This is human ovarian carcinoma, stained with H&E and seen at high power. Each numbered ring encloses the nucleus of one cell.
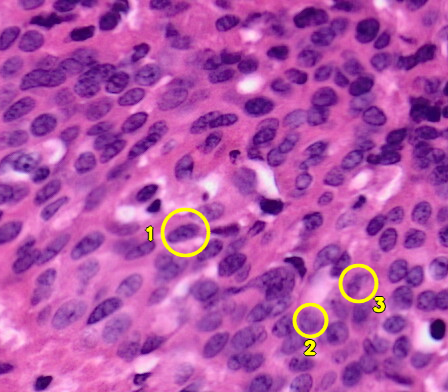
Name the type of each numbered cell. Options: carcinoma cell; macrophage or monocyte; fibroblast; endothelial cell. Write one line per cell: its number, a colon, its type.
1: macrophage or monocyte
2: carcinoma cell
3: carcinoma cell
